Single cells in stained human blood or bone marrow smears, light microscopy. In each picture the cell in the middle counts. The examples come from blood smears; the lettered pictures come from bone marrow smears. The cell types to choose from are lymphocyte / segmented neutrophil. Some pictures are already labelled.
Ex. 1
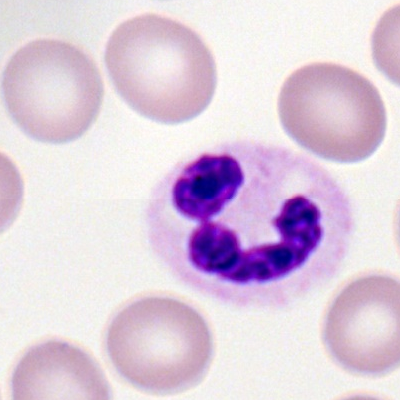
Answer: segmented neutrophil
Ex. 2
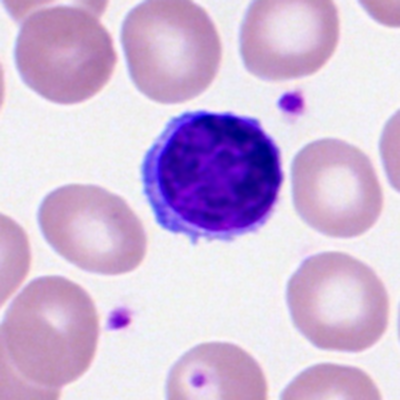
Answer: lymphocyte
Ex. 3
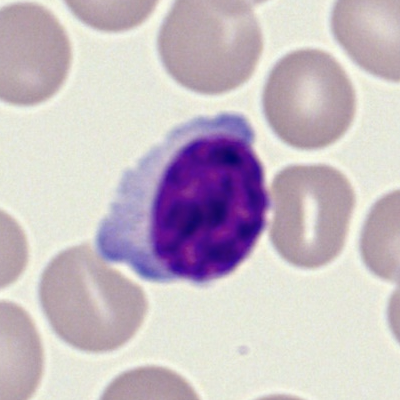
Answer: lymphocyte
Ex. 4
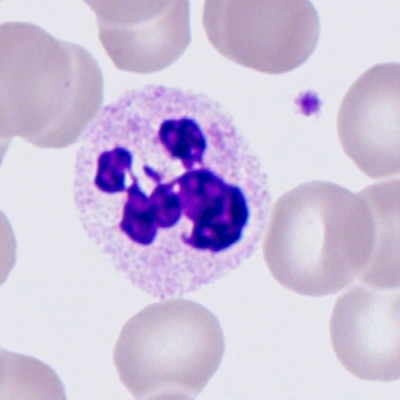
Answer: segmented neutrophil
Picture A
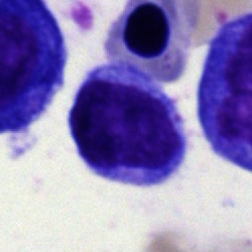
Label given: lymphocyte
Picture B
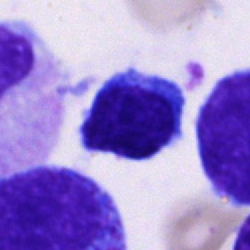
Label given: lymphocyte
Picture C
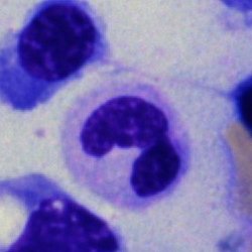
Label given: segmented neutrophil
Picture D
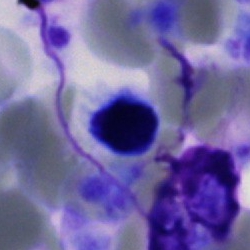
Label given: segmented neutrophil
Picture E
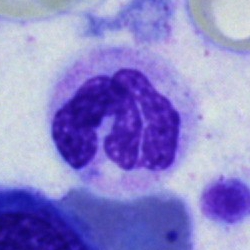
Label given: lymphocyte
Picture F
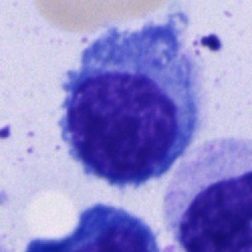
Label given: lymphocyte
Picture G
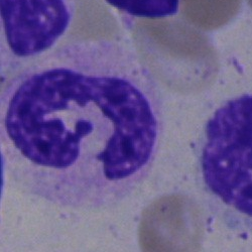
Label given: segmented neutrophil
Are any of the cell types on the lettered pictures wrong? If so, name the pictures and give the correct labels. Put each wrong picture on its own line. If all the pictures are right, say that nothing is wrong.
D: not segmented neutrophil but lymphocyte
E: not lymphocyte but segmented neutrophil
